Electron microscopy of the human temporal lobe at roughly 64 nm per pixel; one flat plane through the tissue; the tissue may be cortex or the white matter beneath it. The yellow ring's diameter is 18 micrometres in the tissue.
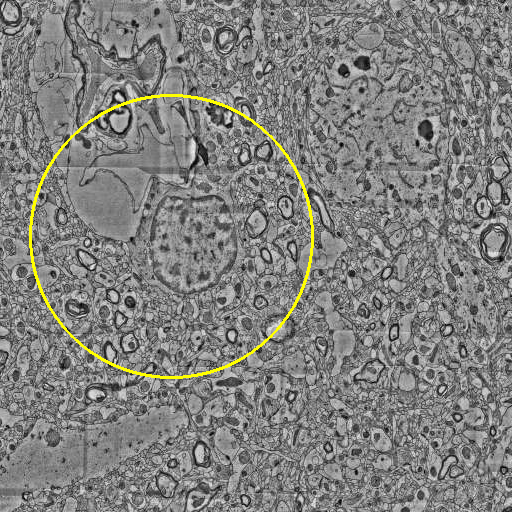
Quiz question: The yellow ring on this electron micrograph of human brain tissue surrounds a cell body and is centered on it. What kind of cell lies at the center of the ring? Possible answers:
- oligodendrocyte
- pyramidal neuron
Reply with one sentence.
The ring's center lies on an oligodendrocyte.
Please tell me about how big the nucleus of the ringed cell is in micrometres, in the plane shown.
Roughly 6 micrometres across, measured in this plane.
